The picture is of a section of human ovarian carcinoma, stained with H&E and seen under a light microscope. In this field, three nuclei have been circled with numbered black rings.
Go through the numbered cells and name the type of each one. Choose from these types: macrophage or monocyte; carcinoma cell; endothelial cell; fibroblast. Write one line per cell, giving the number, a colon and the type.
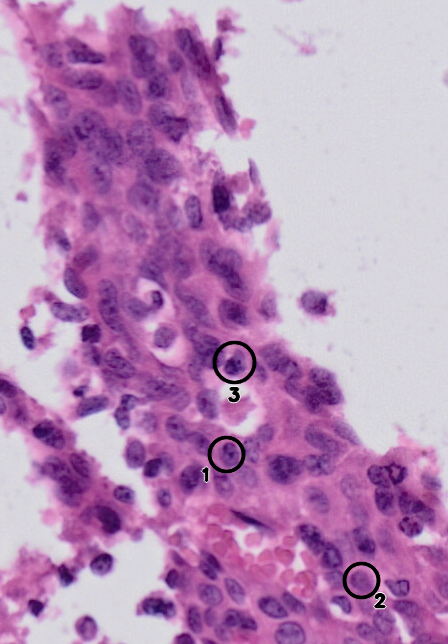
1: macrophage or monocyte
2: carcinoma cell
3: macrophage or monocyte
